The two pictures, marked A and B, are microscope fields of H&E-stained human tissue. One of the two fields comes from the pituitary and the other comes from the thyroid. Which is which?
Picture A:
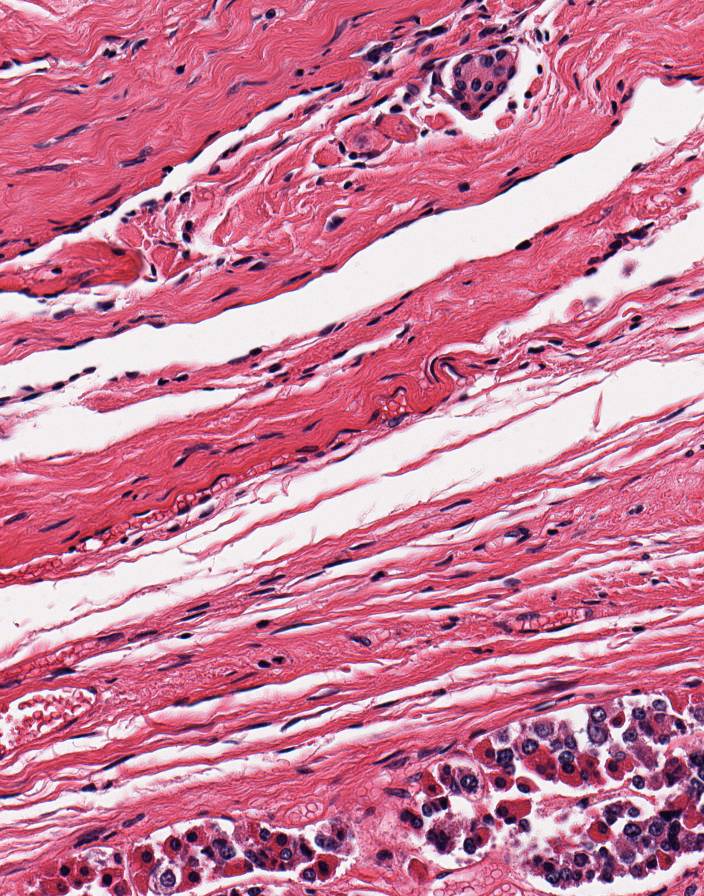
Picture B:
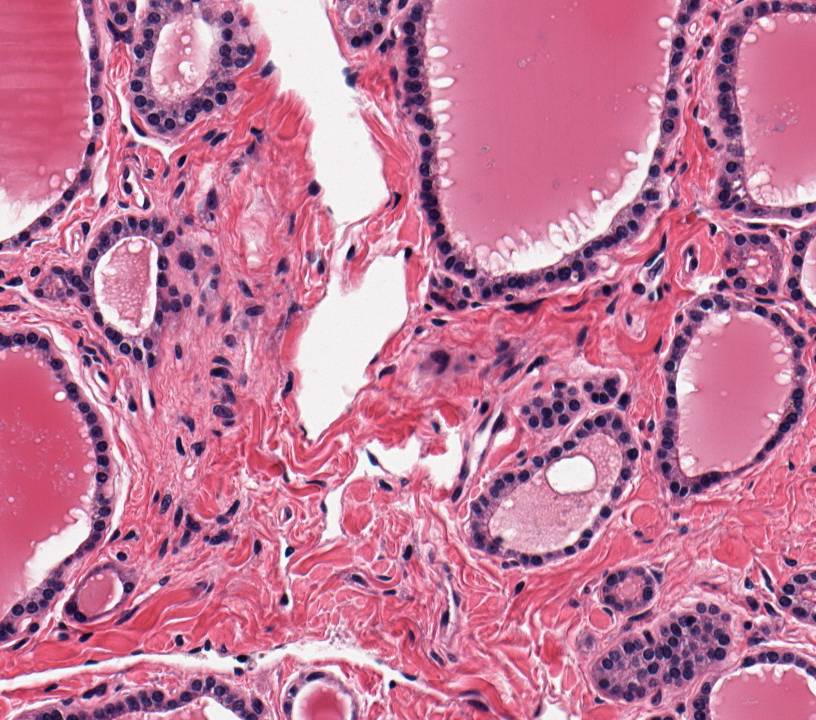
A: pituitary
B: thyroid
